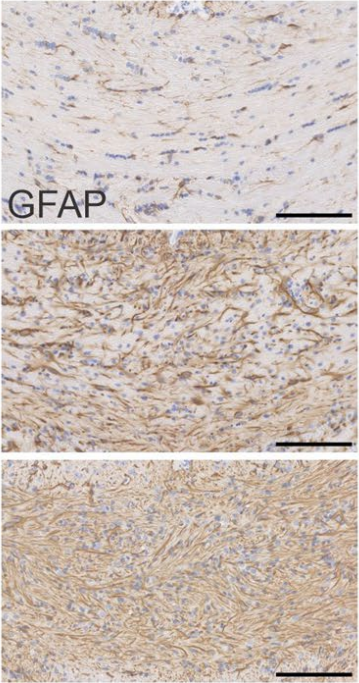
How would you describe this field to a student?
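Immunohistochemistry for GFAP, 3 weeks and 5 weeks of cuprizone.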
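The tissue is pale, and its fibres run in broad sweeping bundles. Small blue nuclei sit in short rows along these fibres. In the top image the brown cells are few and slender, each with thin processes that follow the fibres. In the lower images the brown stain is much more widespread. Thicker, darker processes branch and cross one another, and they form a dense meshwork that fills most of the field.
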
